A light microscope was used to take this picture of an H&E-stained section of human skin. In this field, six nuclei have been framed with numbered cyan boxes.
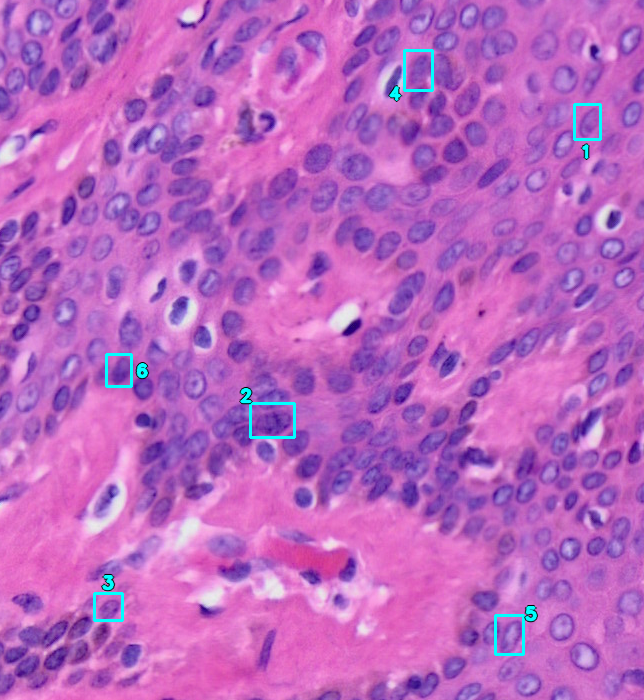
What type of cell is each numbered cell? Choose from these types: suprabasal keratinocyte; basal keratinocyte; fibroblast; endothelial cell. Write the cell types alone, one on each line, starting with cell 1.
suprabasal keratinocyte
basal keratinocyte
basal keratinocyte
basal keratinocyte
suprabasal keratinocyte
basal keratinocyte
